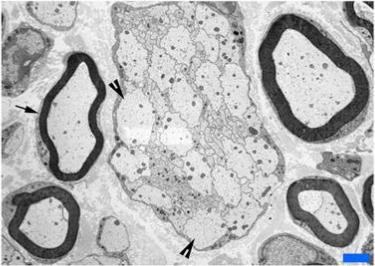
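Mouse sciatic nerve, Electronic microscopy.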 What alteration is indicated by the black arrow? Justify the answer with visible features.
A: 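Thinly myelinated. The arrow points at a dark ring of compact myelin around a large pale axon.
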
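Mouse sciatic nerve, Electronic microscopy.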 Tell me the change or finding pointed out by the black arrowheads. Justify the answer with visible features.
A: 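Failed to be myelinated. The arrowheads point at the edge of a large pale region packed with many small axon profiles. None of the axons in that region has a dark myelin ring around it.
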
